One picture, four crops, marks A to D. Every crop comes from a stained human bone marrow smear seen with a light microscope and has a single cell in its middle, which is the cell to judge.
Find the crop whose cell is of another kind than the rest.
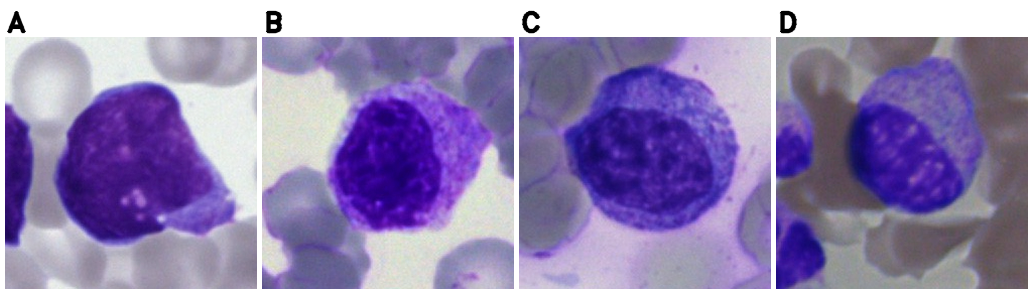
A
